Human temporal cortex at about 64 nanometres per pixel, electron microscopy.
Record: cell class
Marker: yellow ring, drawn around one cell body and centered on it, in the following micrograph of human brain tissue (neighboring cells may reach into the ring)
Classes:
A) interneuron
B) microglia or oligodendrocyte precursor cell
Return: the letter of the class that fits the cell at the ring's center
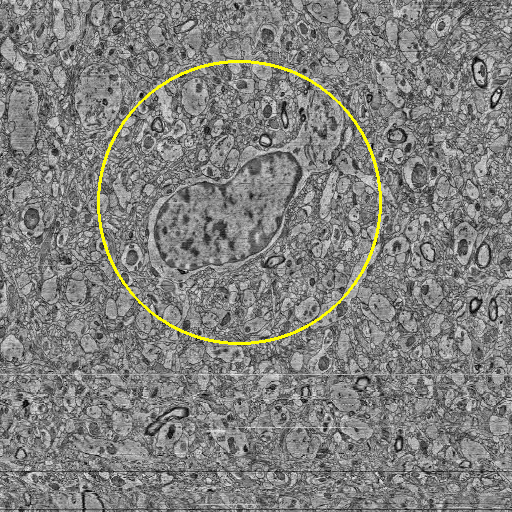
B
